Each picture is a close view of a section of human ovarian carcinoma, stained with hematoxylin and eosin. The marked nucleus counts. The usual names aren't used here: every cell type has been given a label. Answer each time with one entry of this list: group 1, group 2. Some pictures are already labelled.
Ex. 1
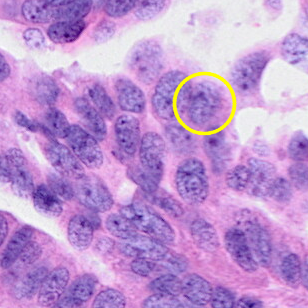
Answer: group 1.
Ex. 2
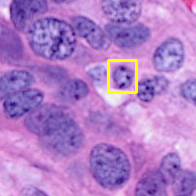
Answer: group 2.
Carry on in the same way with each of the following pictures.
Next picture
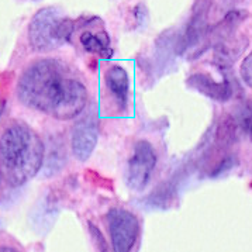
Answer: group 2.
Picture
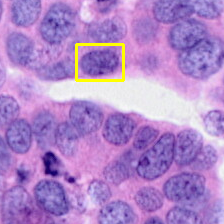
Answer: group 1.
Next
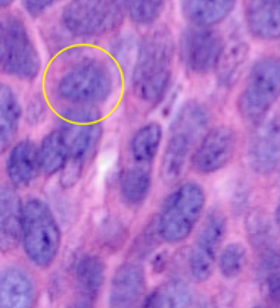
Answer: group 1.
